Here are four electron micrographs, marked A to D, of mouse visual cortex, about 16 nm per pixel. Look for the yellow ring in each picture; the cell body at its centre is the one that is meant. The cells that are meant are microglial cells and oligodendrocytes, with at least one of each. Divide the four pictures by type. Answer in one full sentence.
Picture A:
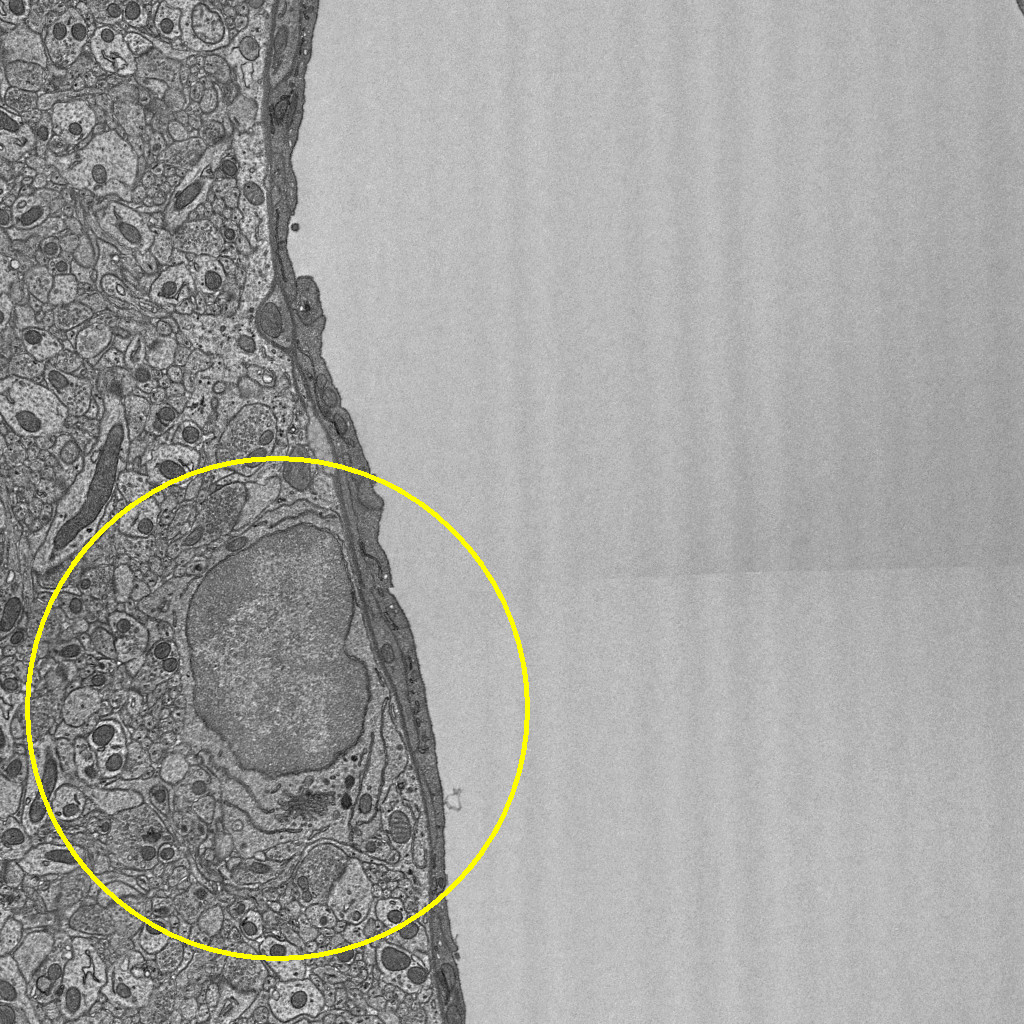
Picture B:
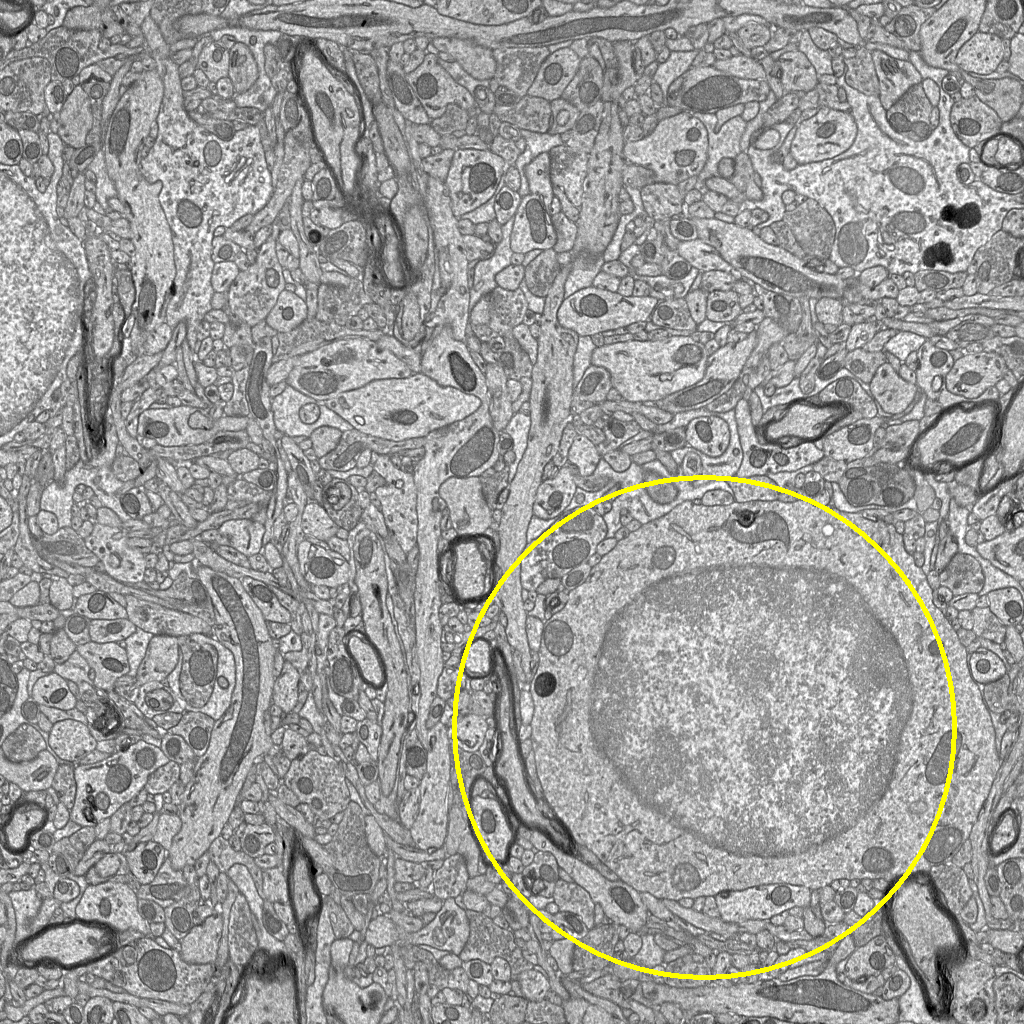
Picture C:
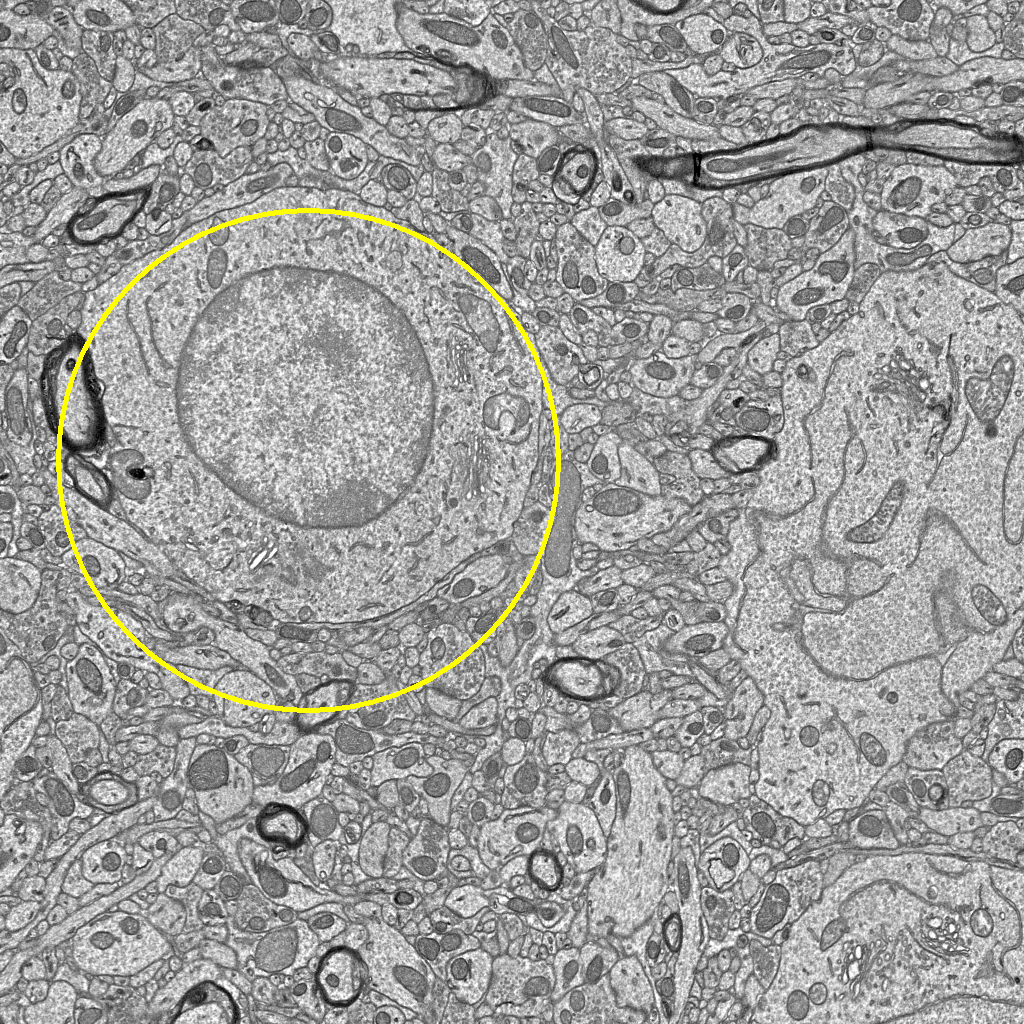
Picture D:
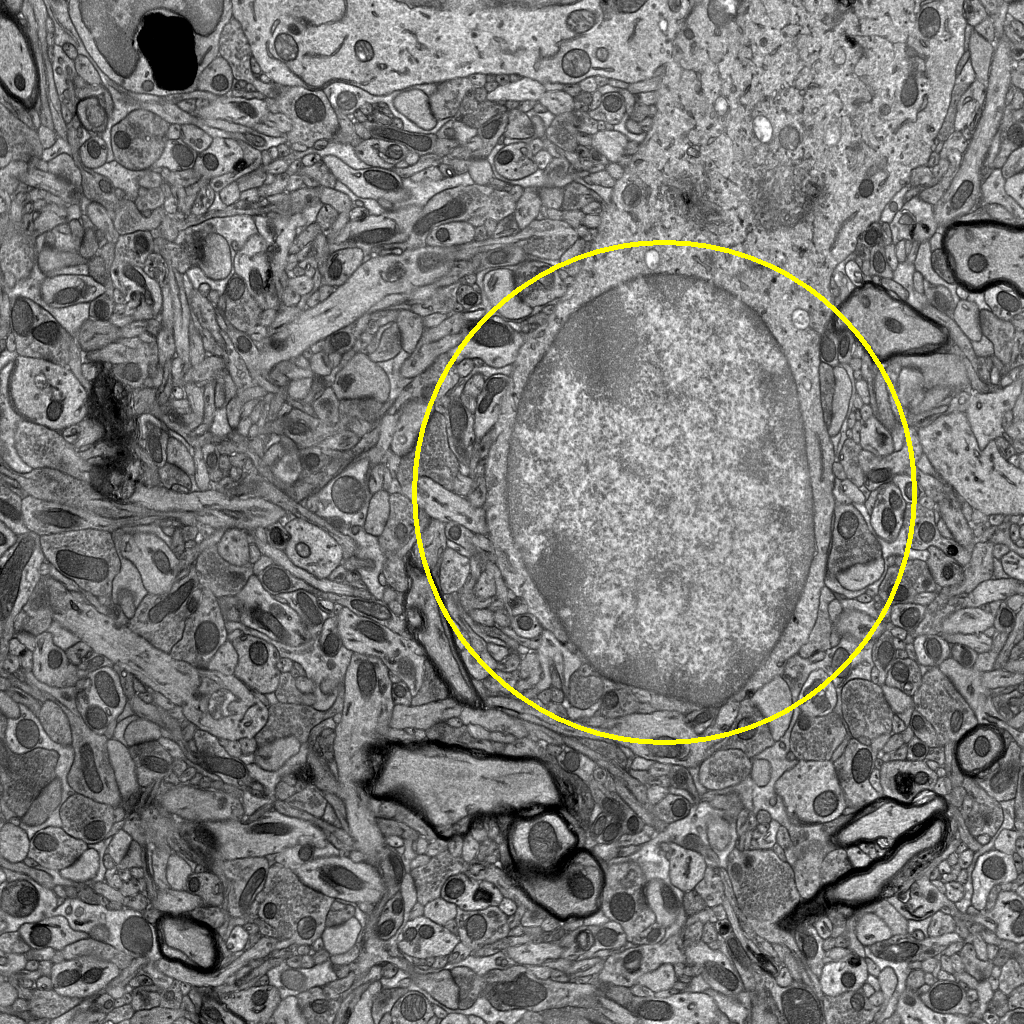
Picture A shows a microglial cell, while pictures B, C and D show oligodendrocytes.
